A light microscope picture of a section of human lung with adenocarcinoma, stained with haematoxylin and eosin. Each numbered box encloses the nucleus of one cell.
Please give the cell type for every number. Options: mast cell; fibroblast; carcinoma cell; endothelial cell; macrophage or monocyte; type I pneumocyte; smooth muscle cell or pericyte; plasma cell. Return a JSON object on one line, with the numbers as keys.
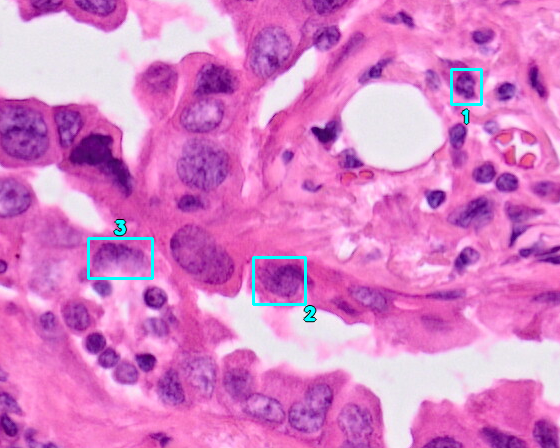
{"1": "plasma cell", "2": "carcinoma cell", "3": "carcinoma cell"}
